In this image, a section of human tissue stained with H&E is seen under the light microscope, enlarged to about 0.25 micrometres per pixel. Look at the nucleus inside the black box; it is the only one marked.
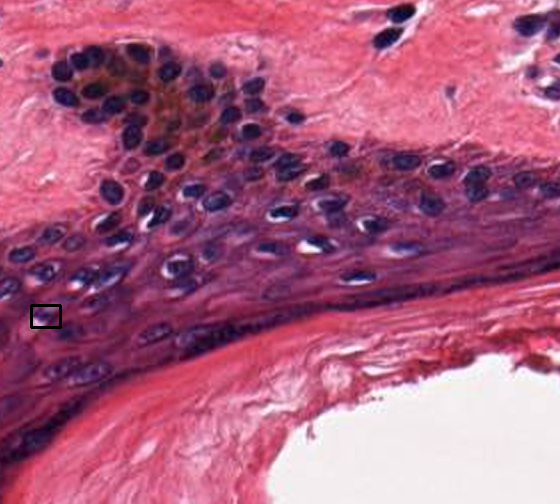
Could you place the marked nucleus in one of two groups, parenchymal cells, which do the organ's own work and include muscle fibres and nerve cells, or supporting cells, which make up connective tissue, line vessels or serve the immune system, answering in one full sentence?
The marked nucleus corresponds to a parenchymal cell, namely a keratinocyte.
